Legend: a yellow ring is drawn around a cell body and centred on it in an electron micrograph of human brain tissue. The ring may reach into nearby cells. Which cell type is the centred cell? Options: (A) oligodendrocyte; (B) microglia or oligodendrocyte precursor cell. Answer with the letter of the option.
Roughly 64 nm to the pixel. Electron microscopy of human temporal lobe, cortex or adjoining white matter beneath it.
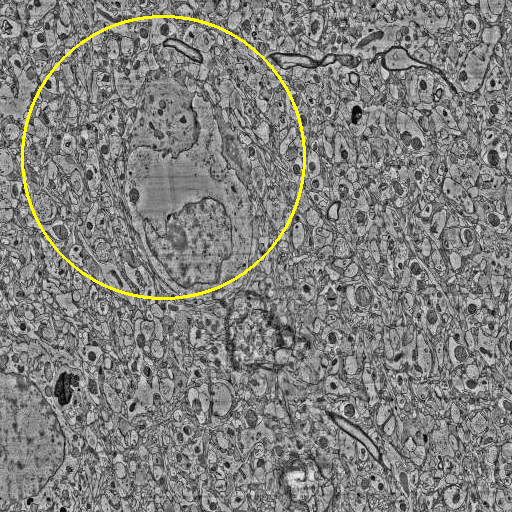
A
